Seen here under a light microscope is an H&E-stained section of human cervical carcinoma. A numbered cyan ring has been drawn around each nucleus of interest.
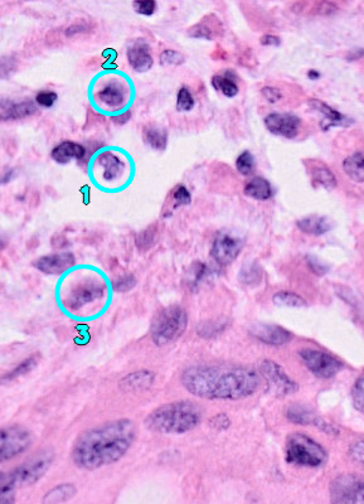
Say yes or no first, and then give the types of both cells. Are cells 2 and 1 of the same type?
Yes, note that cells 2 and 1 are both lymphocytes.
